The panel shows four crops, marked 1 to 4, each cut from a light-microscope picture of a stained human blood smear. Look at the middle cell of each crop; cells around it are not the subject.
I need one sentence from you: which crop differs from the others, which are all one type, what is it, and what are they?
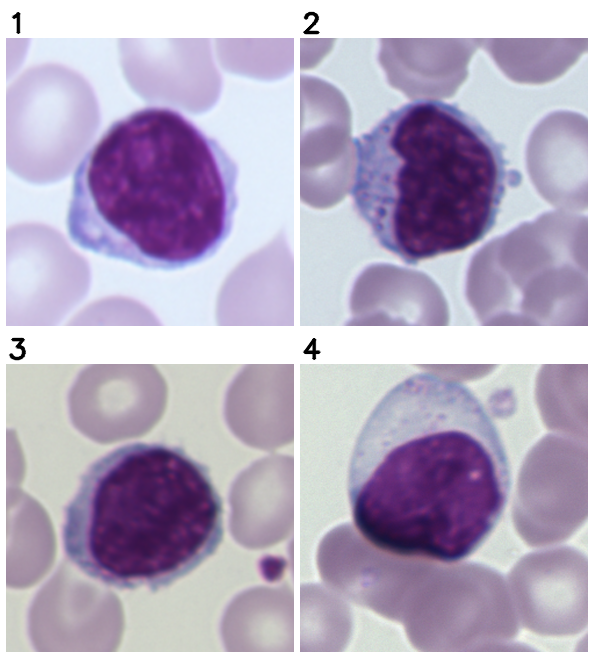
Crop 4 does not match the others; it shows a large granular lymphocyte, and they show typical lymphocytes.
